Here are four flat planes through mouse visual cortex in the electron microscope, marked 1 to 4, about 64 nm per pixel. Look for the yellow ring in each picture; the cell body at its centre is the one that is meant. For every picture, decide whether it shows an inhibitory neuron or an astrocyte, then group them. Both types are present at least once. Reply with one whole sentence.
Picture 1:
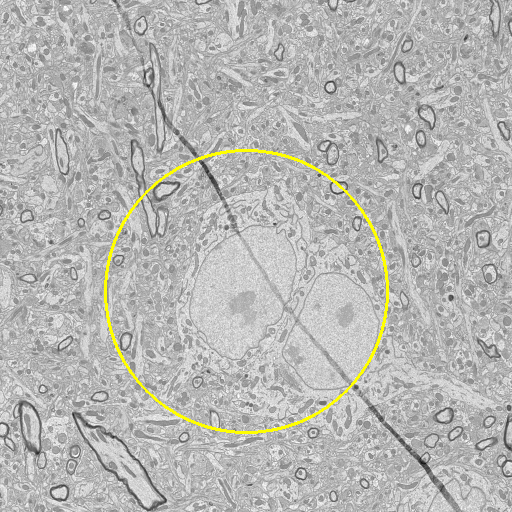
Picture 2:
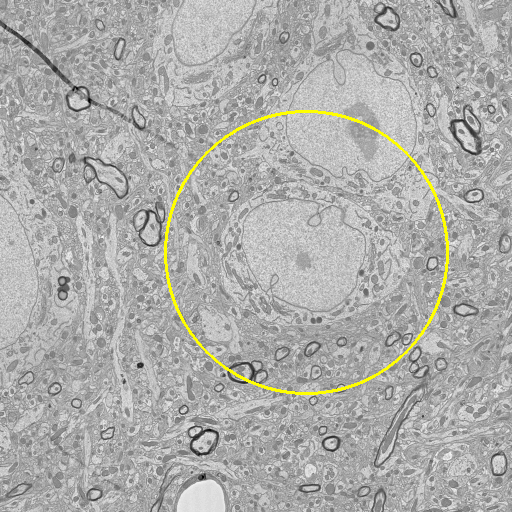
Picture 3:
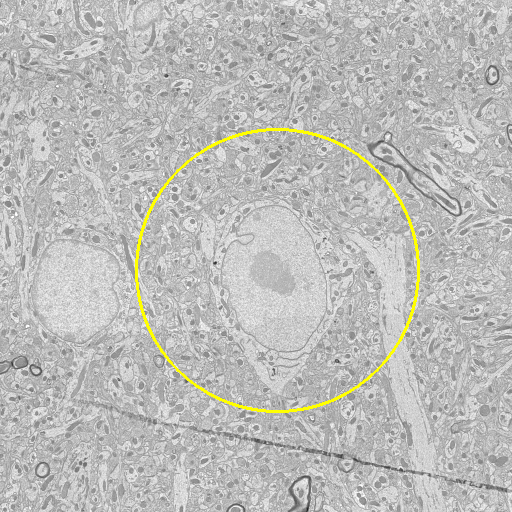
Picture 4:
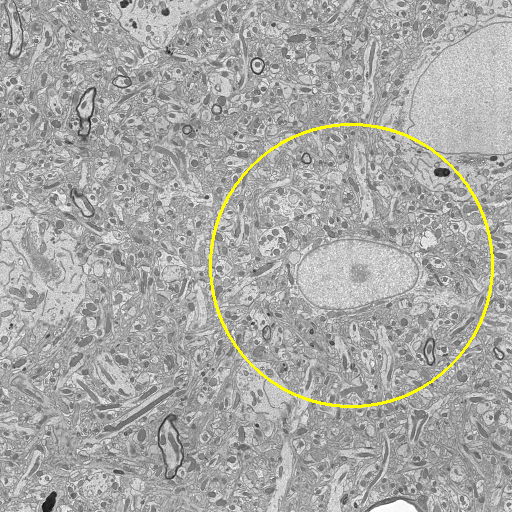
Pictures 1, 2 and 3 show inhibitory neurons, and picture 4 shows an astrocyte.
